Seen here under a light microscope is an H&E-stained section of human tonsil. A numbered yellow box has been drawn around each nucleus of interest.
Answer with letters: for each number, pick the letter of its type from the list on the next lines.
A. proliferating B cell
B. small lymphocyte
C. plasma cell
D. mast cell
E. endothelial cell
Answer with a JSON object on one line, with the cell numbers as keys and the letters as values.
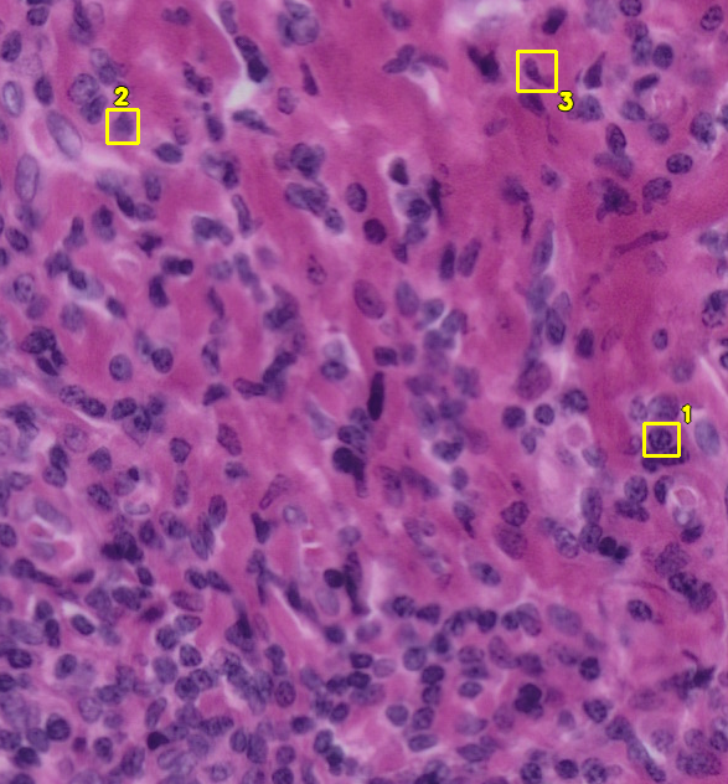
{"1": "C", "2": "D", "3": "D"}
